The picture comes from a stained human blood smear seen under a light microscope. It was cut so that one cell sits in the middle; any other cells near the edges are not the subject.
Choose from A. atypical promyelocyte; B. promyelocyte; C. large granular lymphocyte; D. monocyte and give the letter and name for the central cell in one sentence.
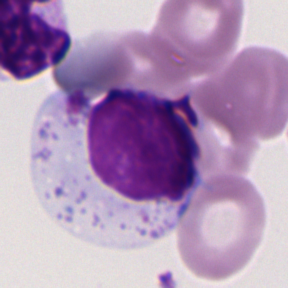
Option C is correct, and the cell in the centre is a large granular lymphocyte.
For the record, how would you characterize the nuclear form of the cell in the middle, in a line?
Its nucleus is compact and single, with a round, oval or kidney-shaped form.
